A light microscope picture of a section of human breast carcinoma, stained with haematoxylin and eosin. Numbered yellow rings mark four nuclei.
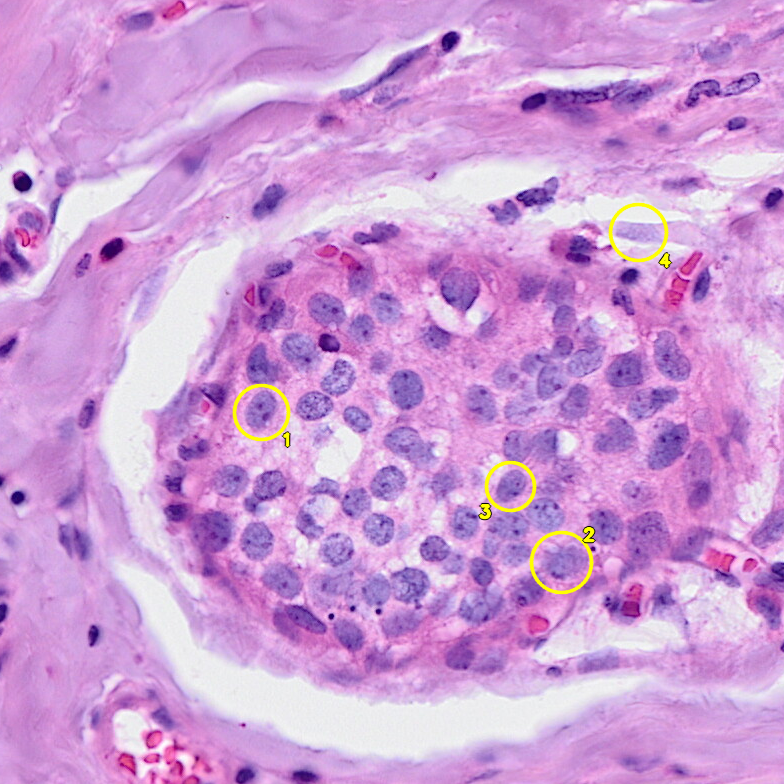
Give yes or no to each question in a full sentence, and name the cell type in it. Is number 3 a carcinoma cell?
Yes, number 3 marks a cell that is a carcinoma cell.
